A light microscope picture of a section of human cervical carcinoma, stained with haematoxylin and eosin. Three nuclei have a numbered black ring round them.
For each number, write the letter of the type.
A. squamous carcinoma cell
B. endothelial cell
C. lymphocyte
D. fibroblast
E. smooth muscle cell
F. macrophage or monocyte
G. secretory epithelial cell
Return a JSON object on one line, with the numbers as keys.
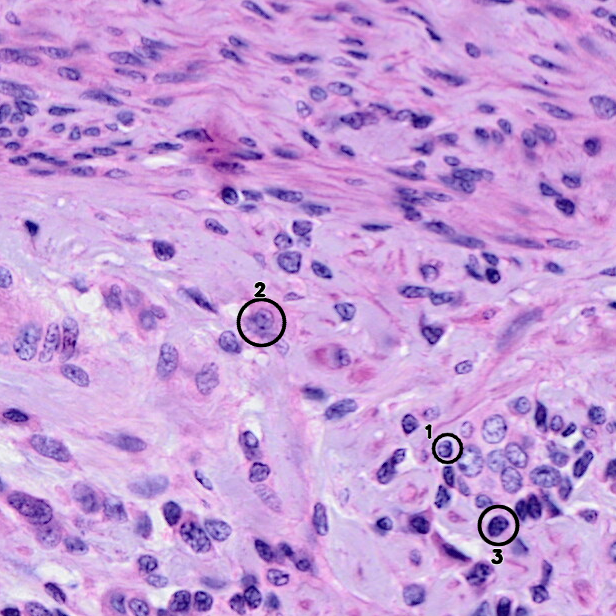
{"1": "C", "2": "B", "3": "C"}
